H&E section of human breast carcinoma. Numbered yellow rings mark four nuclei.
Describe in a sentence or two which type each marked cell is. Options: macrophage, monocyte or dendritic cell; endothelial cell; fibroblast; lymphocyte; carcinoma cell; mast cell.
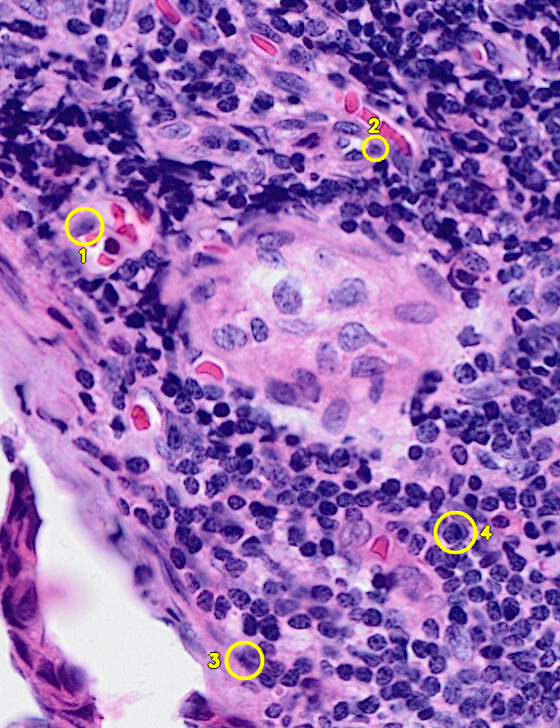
Cell 1 is an endothelial cell, cell 2 is an endothelial cell, cell 3 is a lymphocyte and cell 4 is a lymphocyte.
